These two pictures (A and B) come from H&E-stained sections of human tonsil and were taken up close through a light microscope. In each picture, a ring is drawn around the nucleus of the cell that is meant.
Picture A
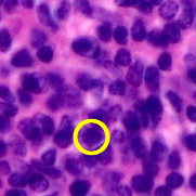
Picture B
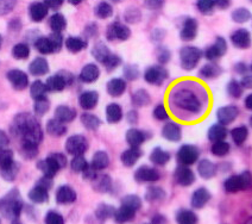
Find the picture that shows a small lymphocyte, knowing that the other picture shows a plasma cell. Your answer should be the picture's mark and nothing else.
A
